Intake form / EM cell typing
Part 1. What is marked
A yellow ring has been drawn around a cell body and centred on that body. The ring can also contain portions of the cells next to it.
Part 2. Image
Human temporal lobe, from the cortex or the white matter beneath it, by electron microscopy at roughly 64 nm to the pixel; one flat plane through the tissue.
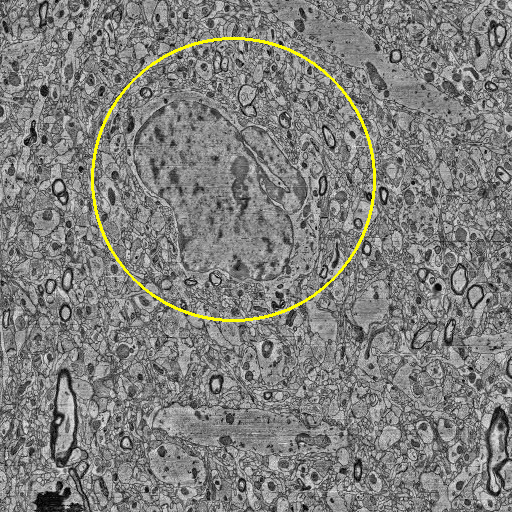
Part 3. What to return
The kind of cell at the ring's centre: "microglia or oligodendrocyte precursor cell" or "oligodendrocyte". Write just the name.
microglia or oligodendrocyte precursor cell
